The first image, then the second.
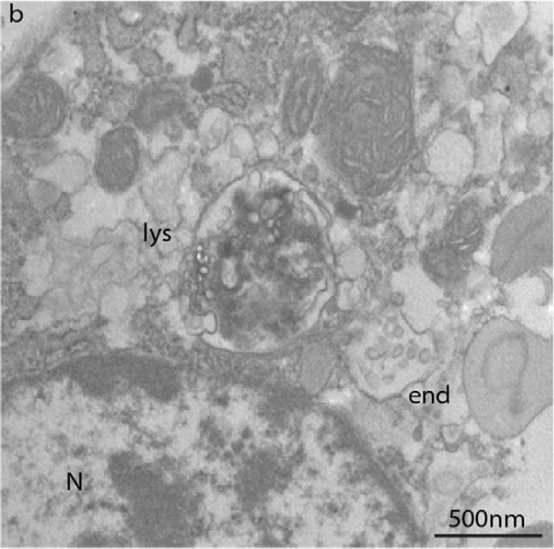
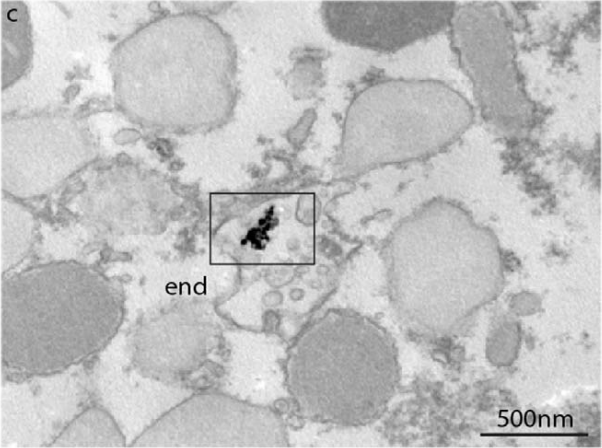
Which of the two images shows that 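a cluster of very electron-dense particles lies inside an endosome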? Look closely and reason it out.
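First image: vesicles and vacuoles contain grey material, with no compact black particle clusters. Second image: a membrane-bound compartment holds a compact cluster of black, electron-dense particles. That points to this answer: the second image.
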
